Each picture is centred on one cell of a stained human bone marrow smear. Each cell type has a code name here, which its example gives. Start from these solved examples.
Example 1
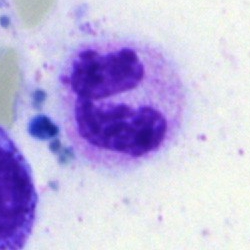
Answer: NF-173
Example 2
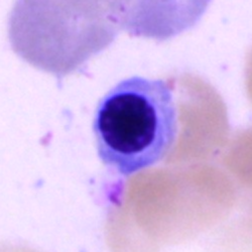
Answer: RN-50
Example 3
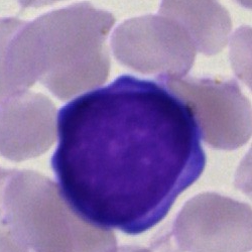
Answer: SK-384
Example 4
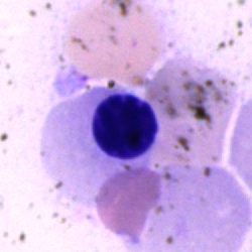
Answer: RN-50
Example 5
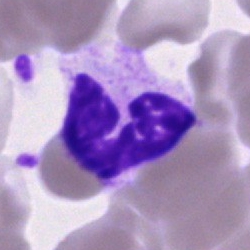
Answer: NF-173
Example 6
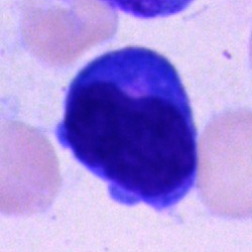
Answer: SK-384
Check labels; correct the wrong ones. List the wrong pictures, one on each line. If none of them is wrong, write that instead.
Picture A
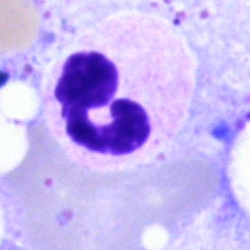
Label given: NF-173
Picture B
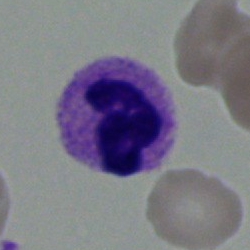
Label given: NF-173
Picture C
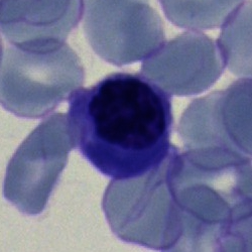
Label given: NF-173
Wrong: C (NF-173); correct: RN-50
